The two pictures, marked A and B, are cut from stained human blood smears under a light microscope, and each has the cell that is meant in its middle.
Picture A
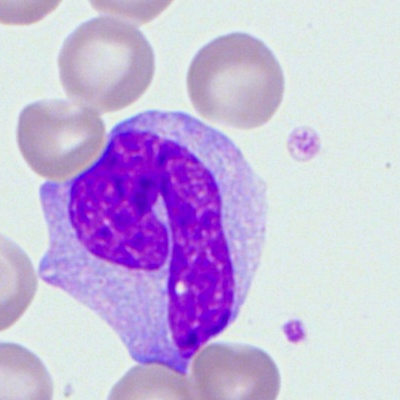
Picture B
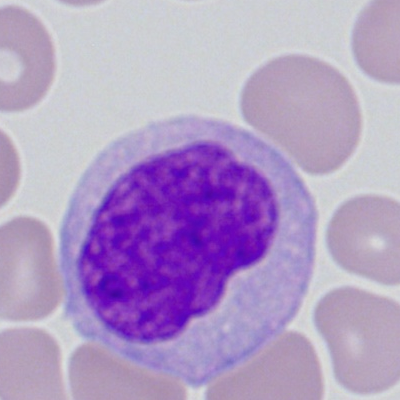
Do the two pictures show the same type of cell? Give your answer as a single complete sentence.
Yes, they are the same type: both are monocytes.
